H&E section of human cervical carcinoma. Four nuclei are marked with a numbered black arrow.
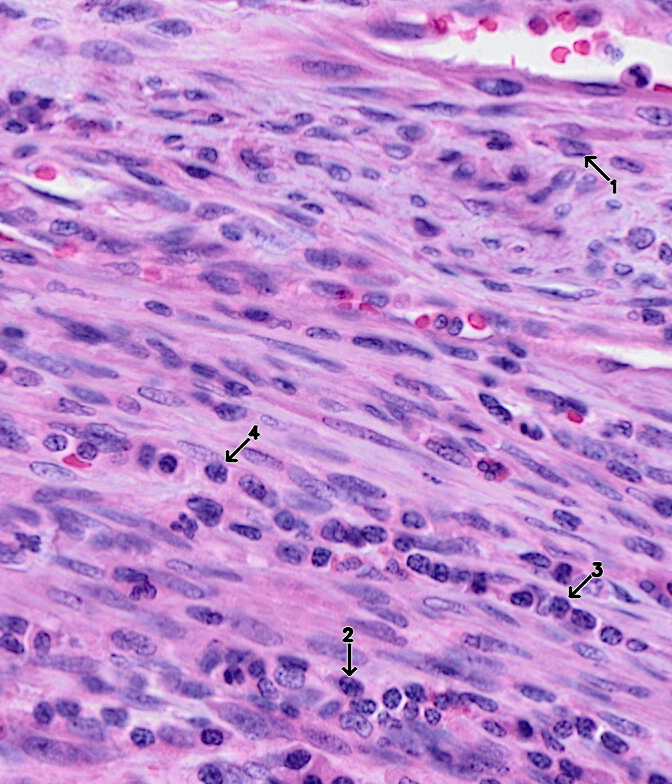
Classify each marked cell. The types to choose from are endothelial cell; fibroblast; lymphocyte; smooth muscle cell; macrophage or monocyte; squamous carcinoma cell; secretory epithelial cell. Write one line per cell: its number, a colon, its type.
1: macrophage or monocyte
2: lymphocyte
3: lymphocyte
4: lymphocyte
